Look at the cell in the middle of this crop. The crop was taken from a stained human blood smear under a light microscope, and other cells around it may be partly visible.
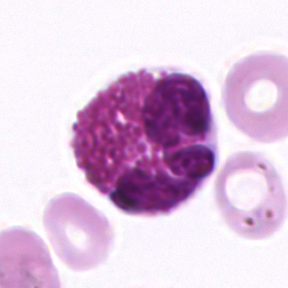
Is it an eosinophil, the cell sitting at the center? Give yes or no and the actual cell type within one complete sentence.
Yes, the cell in the middle is an eosinophil.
